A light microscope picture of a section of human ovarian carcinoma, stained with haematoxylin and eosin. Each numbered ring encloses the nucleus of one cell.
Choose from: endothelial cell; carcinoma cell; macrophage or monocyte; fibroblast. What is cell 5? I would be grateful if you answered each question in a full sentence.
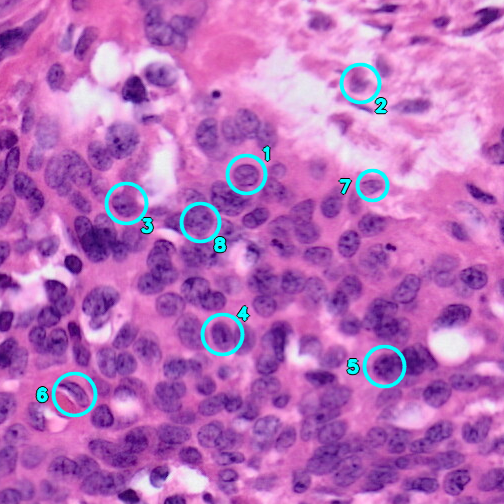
As for number 5, that cell is a carcinoma cell.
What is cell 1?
The cell that carries the label 1 is a carcinoma cell.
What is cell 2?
The expected answer is that cell 2 is a fibroblast.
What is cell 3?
The nucleus marked 3 is the nucleus of a carcinoma cell.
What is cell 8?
In this section, the cell numbered 8 is a carcinoma cell.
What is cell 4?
The expected answer is that cell 4 is a carcinoma cell.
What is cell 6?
Cell 6 in the field of view is an endothelial cell.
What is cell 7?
Cell 7 is classified as a macrophage or monocyte.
